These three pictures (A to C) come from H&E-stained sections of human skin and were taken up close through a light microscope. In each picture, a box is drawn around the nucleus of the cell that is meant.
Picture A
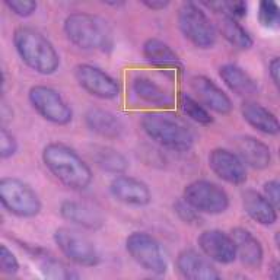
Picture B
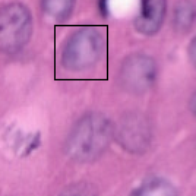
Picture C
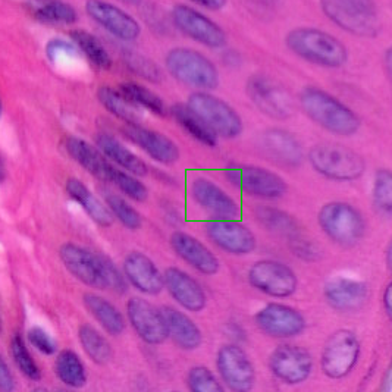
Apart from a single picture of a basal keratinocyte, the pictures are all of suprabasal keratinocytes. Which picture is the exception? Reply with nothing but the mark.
A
